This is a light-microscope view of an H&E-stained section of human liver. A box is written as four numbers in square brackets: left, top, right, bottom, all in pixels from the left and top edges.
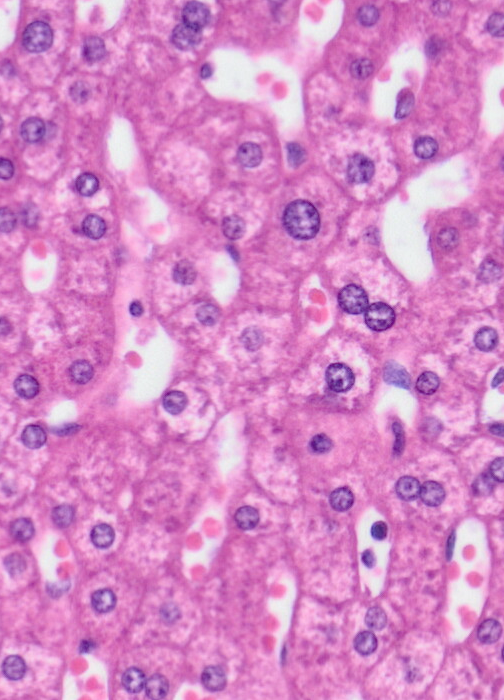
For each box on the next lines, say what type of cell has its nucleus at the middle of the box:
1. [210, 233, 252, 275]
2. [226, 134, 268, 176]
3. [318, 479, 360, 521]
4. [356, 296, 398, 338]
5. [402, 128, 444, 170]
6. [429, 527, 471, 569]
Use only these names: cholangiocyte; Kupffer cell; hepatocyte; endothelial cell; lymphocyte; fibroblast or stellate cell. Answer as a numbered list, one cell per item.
1. endothelial cell
2. hepatocyte
3. hepatocyte
4. hepatocyte
5. hepatocyte
6. endothelial cell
